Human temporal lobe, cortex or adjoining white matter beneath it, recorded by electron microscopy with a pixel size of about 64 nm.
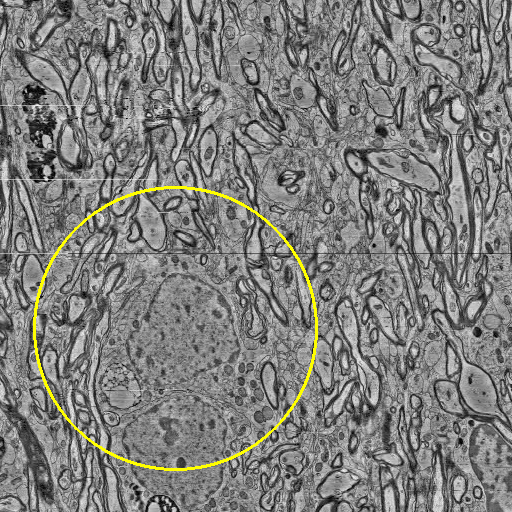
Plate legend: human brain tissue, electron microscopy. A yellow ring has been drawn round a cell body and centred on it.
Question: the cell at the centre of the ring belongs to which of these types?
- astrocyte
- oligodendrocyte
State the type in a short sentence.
The cell in the middle of the ring is an astrocyte.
